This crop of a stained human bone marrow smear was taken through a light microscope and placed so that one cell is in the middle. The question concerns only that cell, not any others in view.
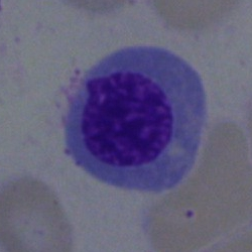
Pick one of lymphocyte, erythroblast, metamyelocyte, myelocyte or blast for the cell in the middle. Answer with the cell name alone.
erythroblast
